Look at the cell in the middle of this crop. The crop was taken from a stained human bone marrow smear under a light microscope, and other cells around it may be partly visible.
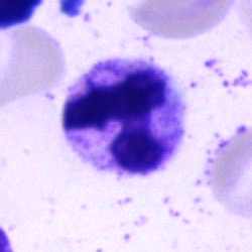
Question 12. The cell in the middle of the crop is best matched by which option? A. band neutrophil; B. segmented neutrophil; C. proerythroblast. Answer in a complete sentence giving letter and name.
Option B is the right one, for the cell in the middle is a segmented neutrophil.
